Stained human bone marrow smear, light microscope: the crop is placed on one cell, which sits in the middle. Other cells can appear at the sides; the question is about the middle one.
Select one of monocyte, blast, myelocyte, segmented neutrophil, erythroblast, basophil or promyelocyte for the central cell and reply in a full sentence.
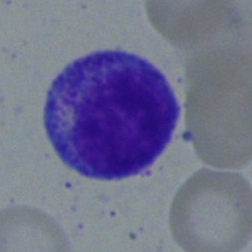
Here the centrally located cell is a myelocyte.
